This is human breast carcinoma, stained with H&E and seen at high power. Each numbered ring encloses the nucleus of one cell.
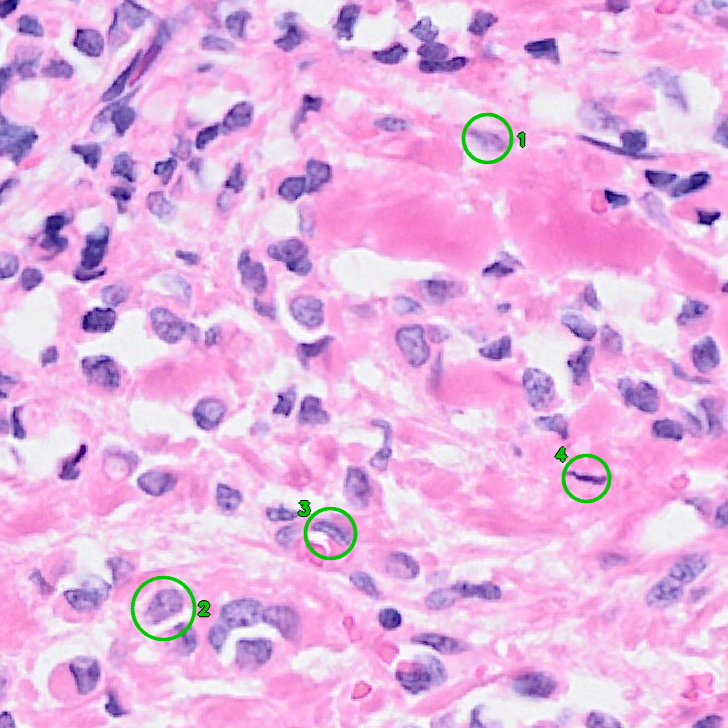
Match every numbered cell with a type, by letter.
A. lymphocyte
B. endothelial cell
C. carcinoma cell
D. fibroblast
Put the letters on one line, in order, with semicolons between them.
D; C; B; D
